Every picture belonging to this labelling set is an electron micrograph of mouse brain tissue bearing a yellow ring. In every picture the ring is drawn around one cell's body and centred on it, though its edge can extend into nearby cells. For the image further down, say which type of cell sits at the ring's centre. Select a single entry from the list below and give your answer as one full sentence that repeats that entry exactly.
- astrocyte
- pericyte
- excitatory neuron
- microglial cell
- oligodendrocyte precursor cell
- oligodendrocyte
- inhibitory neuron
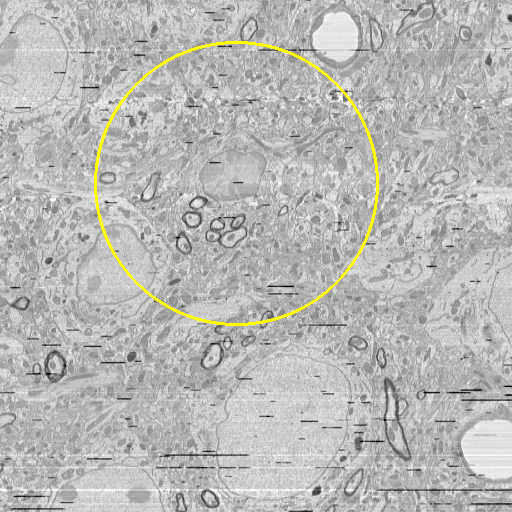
In the picture, a microglial cell is the cell at the centre of the yellow ring.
